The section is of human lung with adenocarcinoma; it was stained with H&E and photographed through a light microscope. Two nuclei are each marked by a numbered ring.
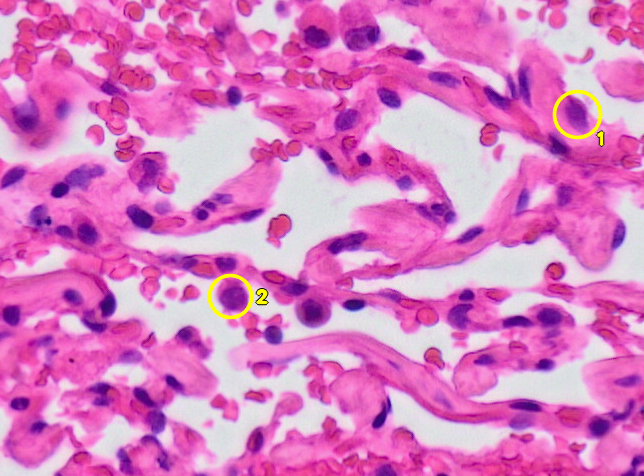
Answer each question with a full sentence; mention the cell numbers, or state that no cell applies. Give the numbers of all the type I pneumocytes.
Cell 1 represents a type I pneumocyte, and no other numbered cell does.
